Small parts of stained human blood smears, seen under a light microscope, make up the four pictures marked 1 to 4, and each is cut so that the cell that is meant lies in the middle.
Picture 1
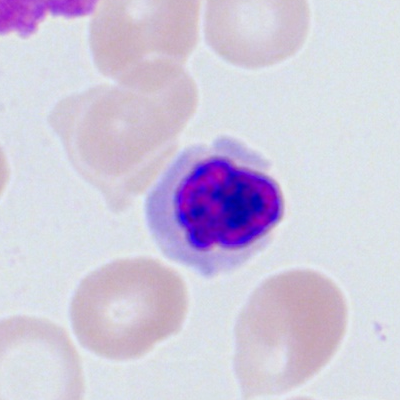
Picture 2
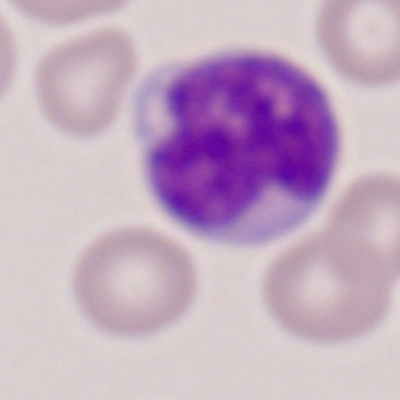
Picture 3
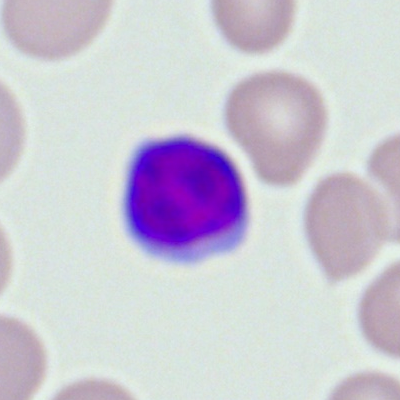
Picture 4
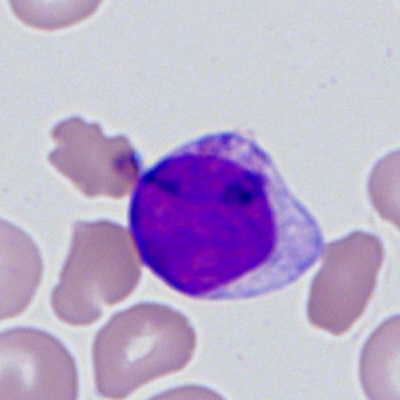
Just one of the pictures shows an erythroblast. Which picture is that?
1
